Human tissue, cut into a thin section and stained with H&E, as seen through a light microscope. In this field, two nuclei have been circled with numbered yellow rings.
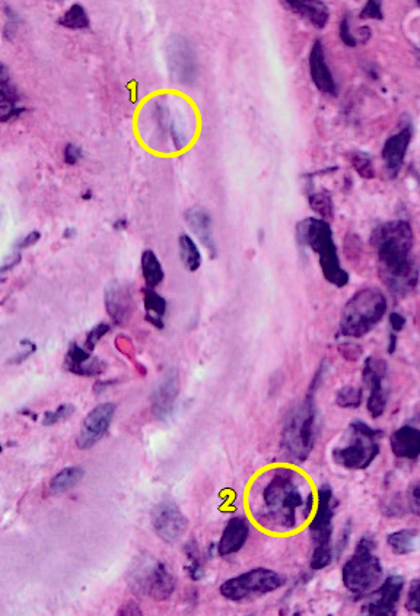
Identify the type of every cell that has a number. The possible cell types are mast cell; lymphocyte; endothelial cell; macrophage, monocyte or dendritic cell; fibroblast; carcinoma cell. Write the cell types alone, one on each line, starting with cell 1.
fibroblast
carcinoma cell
